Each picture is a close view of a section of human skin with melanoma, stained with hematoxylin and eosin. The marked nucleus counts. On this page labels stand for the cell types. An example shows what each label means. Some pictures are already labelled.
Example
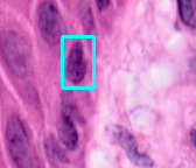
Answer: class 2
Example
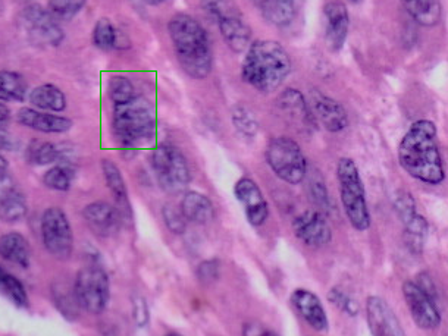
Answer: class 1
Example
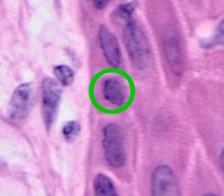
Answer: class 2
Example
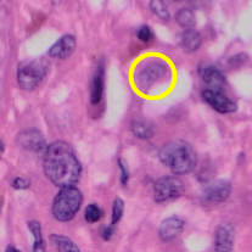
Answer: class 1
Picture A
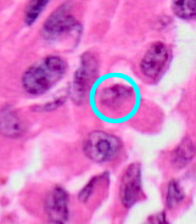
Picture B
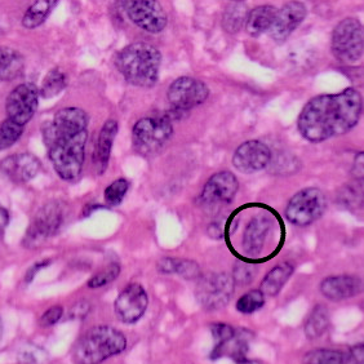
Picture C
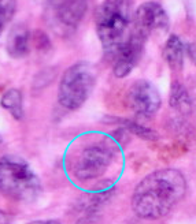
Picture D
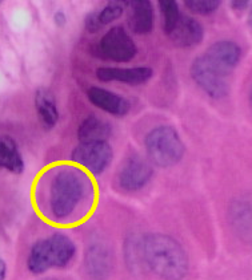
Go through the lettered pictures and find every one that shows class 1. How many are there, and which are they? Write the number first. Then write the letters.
Count: 3 (A, B, C)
